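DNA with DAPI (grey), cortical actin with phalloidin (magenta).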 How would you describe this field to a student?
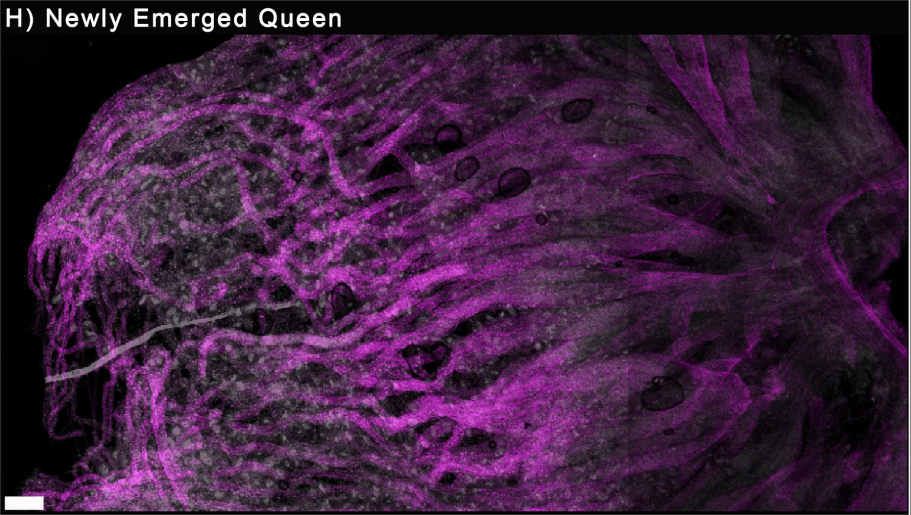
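On the left, the tubes are narrow, wavy and tangled, set among a dense scatter of small grey nuclei. Toward the right the tubes straighten and converge, drawing together into a fan-like region. Small round or oval outlined holes are scattered among the tubes in the middle of the field.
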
